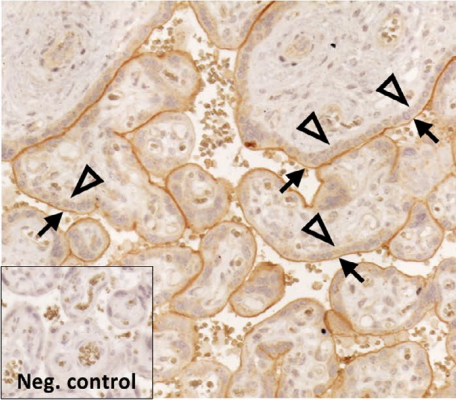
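This is a section of placental villi cut in many planes, each villus a rounded or branching island of pale stroma with small capillaries inside. Each villus is covered by a thin continuous layer, the syncytiotrophoblast, whose outer surface facing the intervillous space is lined by a crisp brown line. The inner side of this layer toward the stroma is much paler, and red blood cells lie scattered in the spaces between the villi.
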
